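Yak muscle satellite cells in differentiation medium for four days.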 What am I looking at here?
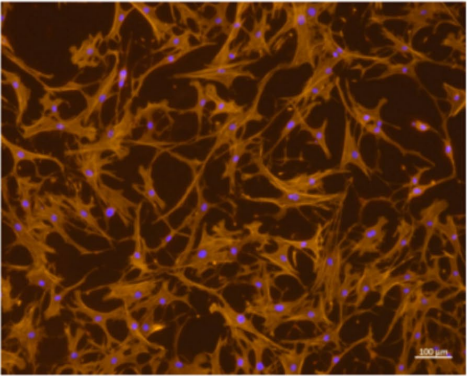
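Many cells are irregular or stellate with tapering processes, while others are drawn out into spindle shapes that overlap their neighbours. Fine fibrous streaks run along the length of the elongated cells. Each cell contains an oval blue nucleus, usually lying centrally within the orange cytoplasm. Dark gaps of empty substrate separate groups of cells, and a few small, rounded, brighter cells sit on top of the layer.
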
